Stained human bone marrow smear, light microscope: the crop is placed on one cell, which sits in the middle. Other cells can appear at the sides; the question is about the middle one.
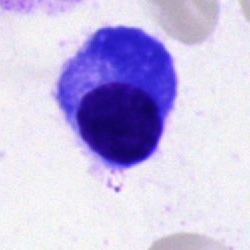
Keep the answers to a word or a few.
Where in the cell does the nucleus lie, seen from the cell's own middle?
bottom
